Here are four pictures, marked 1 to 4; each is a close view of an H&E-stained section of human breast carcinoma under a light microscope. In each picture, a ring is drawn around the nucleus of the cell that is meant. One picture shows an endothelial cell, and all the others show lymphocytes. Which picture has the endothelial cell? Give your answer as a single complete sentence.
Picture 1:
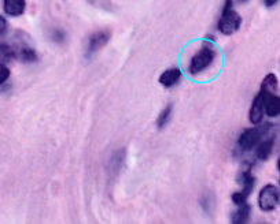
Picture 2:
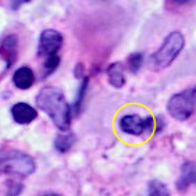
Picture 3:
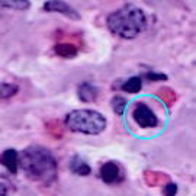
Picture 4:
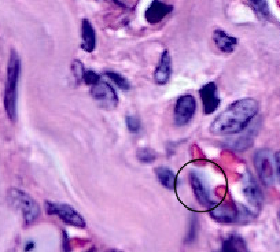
The cell in picture 4 is the endothelial cell.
